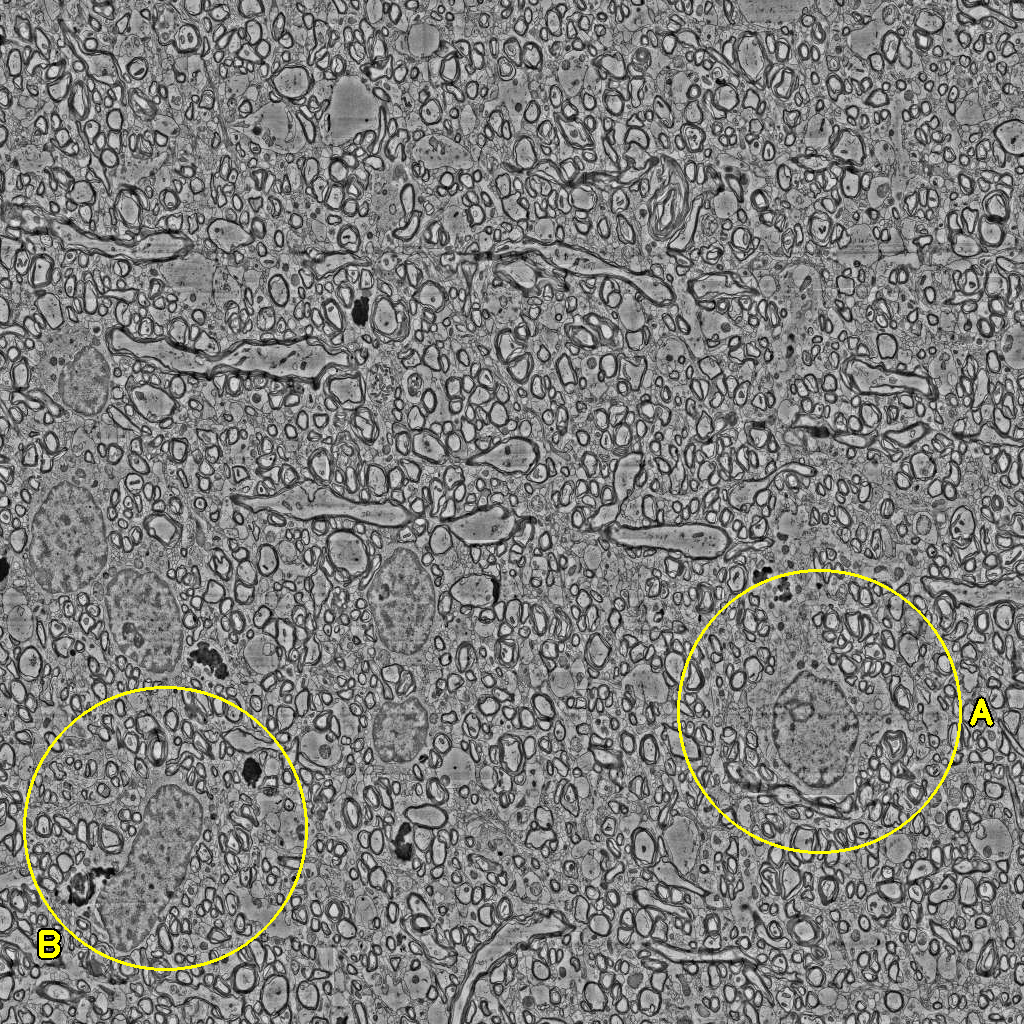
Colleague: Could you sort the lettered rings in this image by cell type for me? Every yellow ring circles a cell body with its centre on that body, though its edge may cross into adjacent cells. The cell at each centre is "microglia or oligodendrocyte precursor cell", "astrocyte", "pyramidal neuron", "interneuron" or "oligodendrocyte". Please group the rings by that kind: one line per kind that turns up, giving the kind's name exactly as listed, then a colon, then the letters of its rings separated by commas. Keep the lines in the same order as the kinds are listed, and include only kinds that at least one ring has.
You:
astrocyte: A
oligodendrocyte: B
